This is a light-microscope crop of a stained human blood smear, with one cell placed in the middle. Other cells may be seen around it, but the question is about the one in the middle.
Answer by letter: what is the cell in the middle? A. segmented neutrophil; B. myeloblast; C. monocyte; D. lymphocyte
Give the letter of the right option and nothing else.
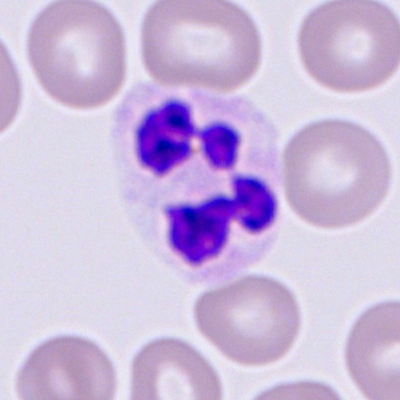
A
